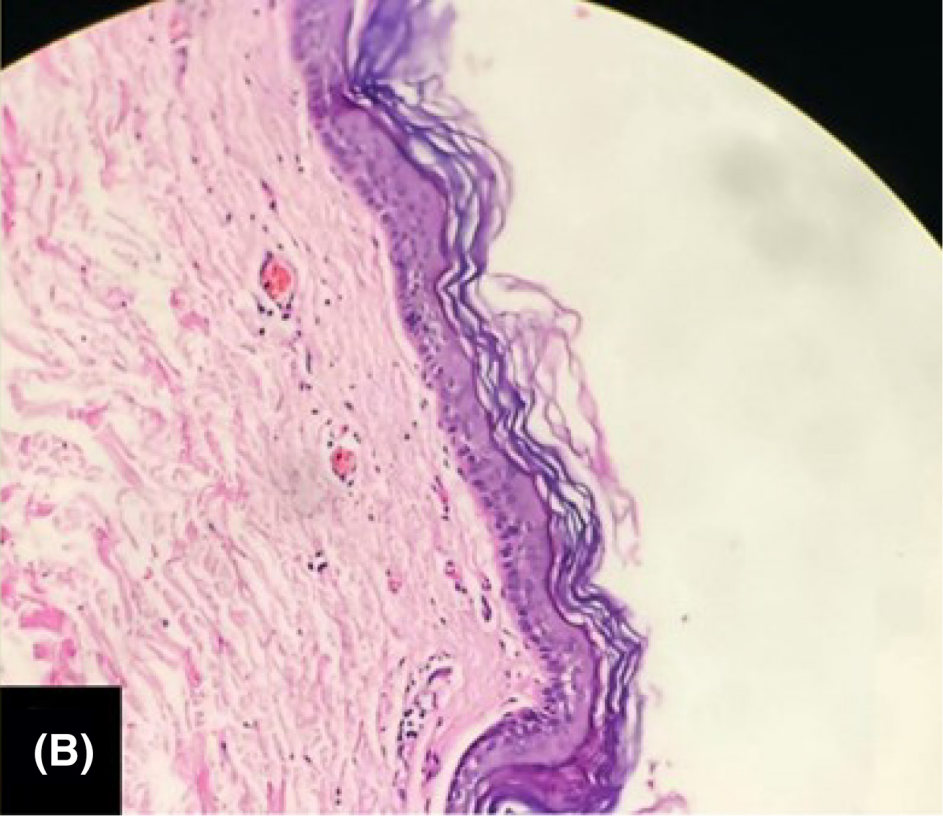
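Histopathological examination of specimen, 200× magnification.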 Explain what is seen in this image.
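A wall of pink fibrous connective tissue is lined along one side by stratified squamous epithelium. The epithelium is several cells thick, with small dark nuclei in its lower layers and a darker purple band in its upper part, beneath wavy, laminated purple layers that lift from the surface into the empty space beside it. The underlying connective tissue consists of loose to moderately dense pale pink collagen fibres with scattered small dark nuclei. A few small blood vessels containing red blood cells lie within it, some with a few surrounding cells. No hair follicles or glands are seen in the wall.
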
